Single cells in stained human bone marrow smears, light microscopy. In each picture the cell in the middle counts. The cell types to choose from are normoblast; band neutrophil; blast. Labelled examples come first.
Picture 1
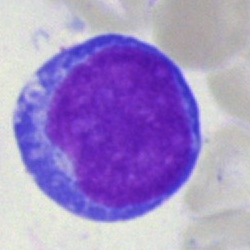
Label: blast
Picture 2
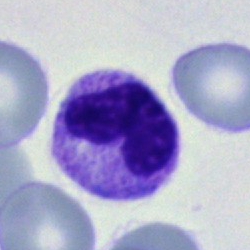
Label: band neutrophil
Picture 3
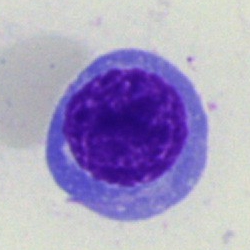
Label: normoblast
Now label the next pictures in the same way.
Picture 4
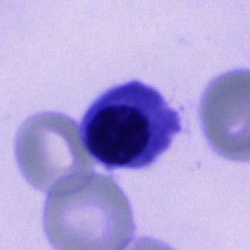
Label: normoblast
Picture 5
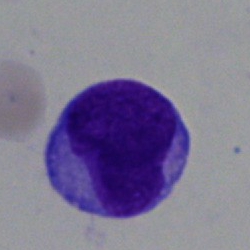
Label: blast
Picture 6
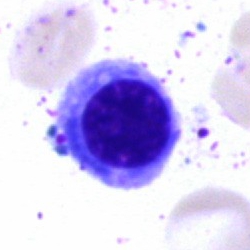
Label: normoblast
